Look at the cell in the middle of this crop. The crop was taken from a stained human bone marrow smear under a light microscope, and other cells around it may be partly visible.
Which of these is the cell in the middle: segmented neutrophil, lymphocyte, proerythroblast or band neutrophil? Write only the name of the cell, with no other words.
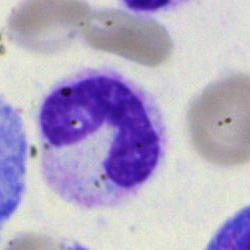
band neutrophil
